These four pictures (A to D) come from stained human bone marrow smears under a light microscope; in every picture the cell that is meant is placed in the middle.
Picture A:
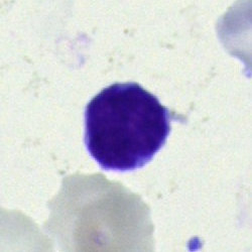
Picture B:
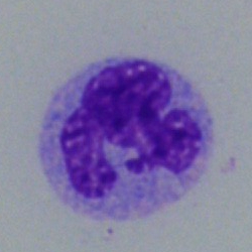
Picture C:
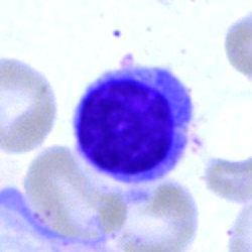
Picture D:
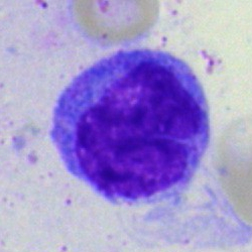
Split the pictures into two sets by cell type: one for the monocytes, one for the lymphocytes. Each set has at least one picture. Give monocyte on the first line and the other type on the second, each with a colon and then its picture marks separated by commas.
monocyte: B, D
lymphocyte: A, C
